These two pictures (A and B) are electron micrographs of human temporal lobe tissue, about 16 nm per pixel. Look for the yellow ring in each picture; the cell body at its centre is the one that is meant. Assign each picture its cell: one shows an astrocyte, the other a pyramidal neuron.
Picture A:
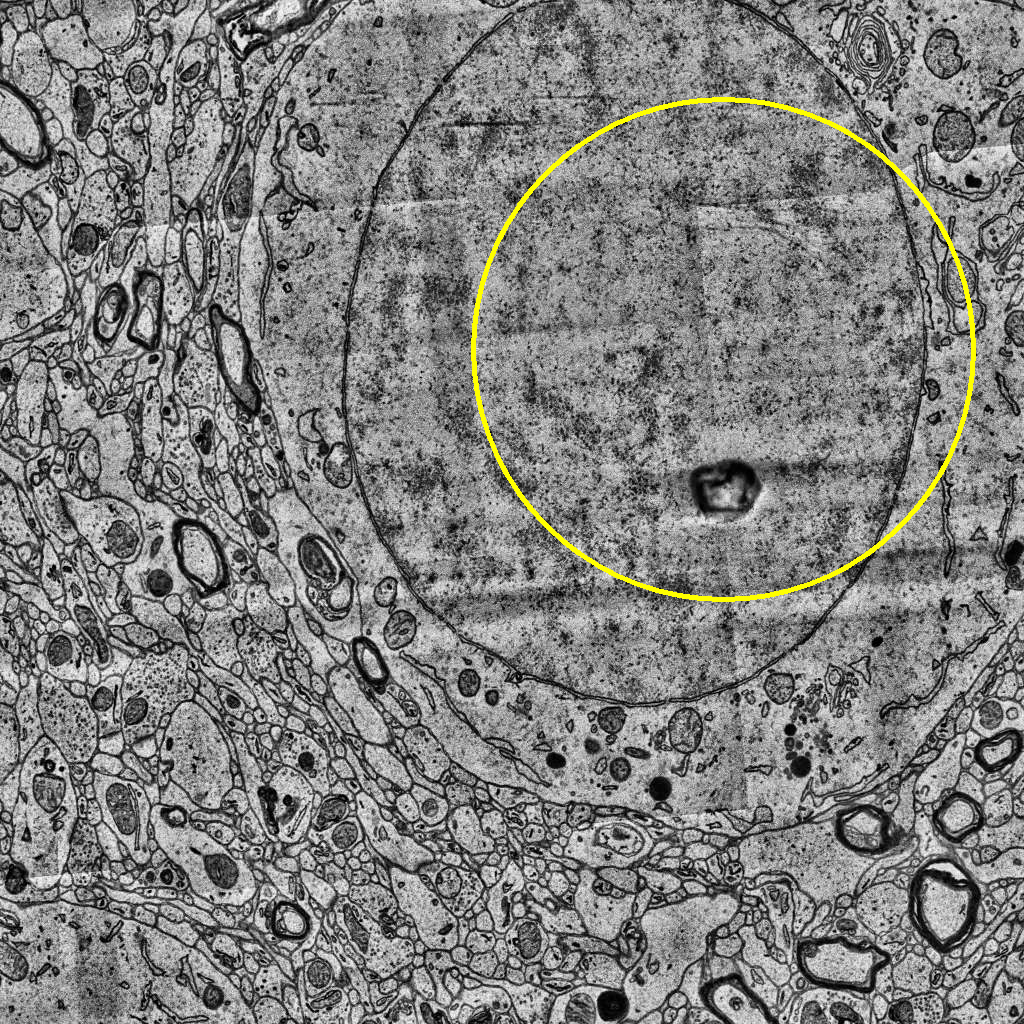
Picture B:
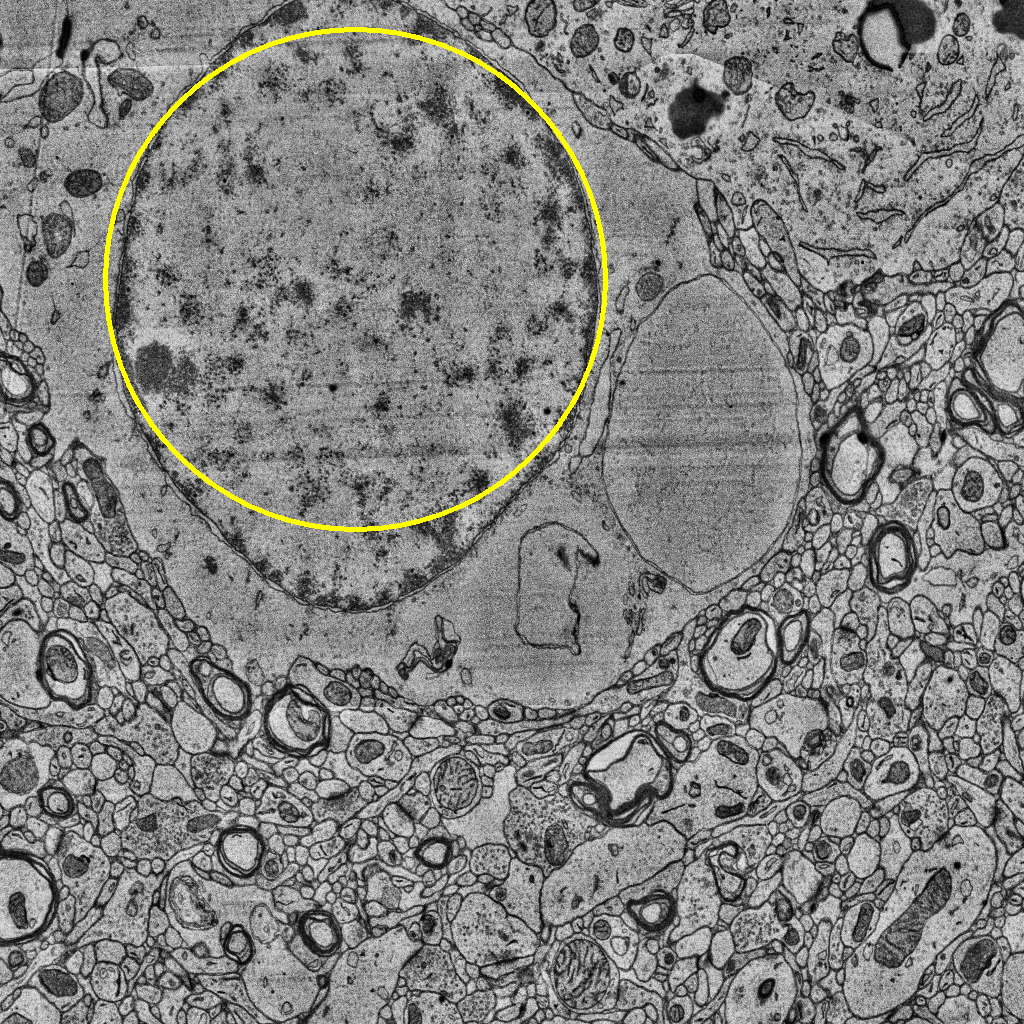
Picture B shows an astrocyte, while picture A shows a pyramidal neuron.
